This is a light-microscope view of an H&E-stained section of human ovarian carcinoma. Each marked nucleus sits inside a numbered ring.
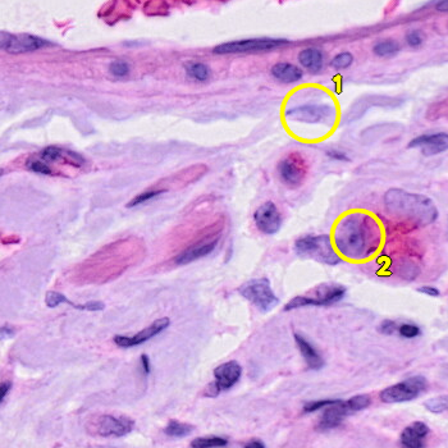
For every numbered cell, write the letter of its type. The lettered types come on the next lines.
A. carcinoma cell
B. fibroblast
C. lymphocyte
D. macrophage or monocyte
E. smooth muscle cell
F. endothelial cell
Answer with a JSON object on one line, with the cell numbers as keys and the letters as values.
{"1": "B", "2": "F"}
